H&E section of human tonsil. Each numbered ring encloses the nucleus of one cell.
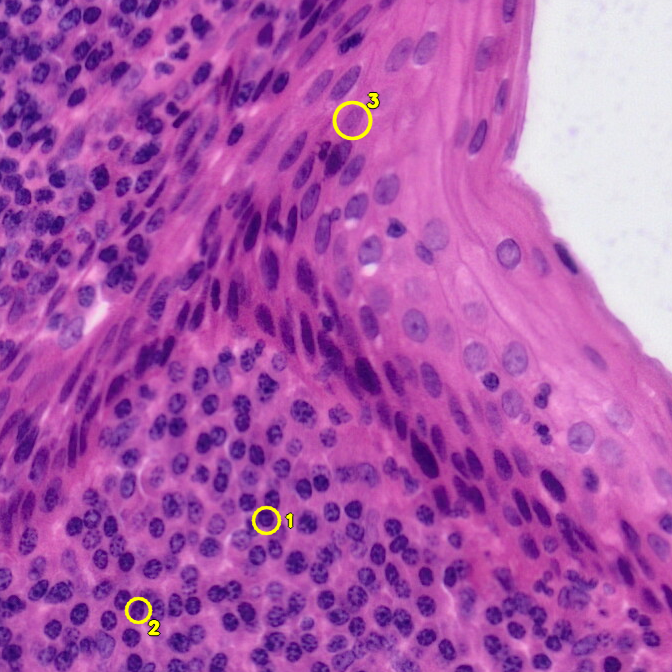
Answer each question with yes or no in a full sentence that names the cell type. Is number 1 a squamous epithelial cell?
No, the cell numbered 1 is a plasma cell rather than a squamous epithelial cell.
